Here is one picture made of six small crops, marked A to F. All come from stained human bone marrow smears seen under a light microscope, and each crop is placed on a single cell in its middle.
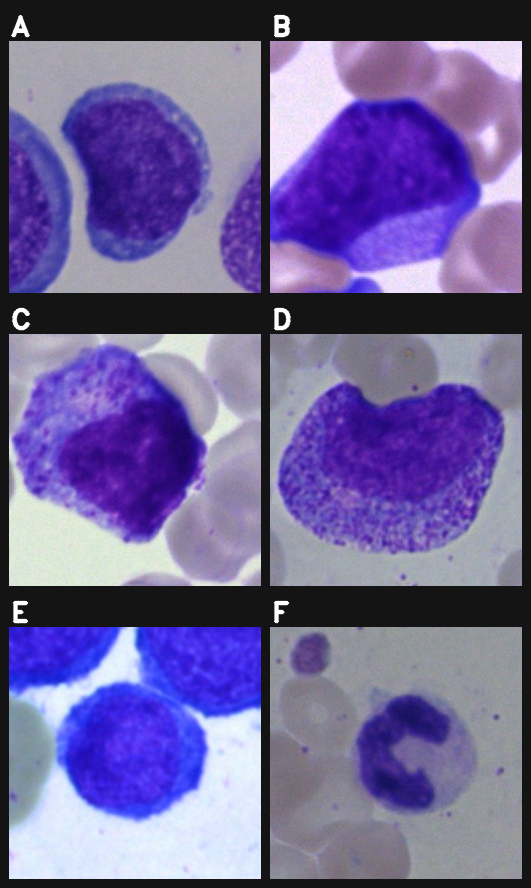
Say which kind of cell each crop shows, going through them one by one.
A: blast
B: blast
C: promyelocyte
D: promyelocyte
E: blast
F: neutrophil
